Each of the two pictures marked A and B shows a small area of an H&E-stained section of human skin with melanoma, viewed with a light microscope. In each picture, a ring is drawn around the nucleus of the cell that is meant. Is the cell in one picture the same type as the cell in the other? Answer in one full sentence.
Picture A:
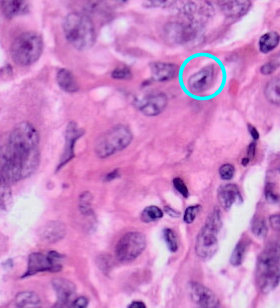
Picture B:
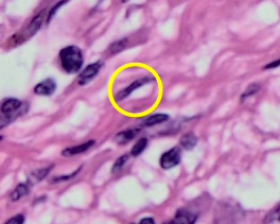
No; the cell in picture A is an endothelial cell, while the one in picture B is a “fibroblast or myofibroblast”.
